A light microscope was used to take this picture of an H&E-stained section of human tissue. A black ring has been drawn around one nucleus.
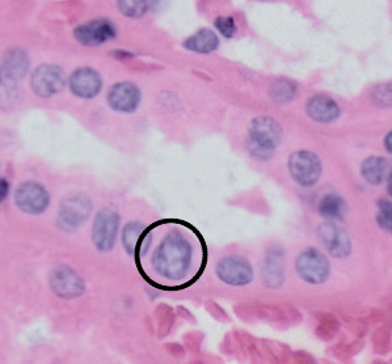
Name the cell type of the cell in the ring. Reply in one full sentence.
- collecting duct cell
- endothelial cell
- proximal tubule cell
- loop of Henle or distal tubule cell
The cell meant here is a collecting duct cell.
